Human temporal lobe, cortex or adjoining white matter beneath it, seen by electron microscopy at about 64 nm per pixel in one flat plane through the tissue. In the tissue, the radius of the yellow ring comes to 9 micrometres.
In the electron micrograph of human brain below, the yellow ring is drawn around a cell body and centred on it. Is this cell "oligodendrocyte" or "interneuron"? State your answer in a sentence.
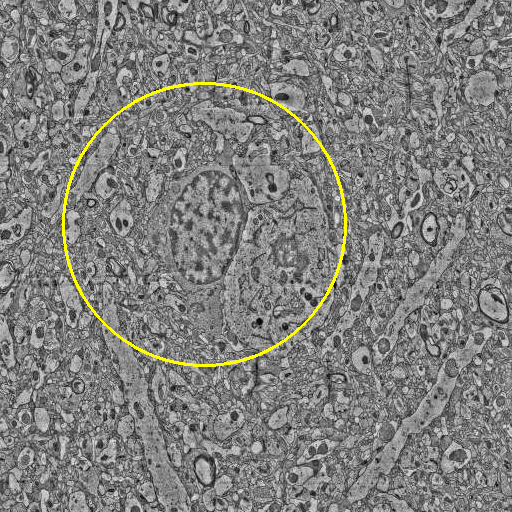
The cell in the middle of the ring is an oligodendrocyte.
